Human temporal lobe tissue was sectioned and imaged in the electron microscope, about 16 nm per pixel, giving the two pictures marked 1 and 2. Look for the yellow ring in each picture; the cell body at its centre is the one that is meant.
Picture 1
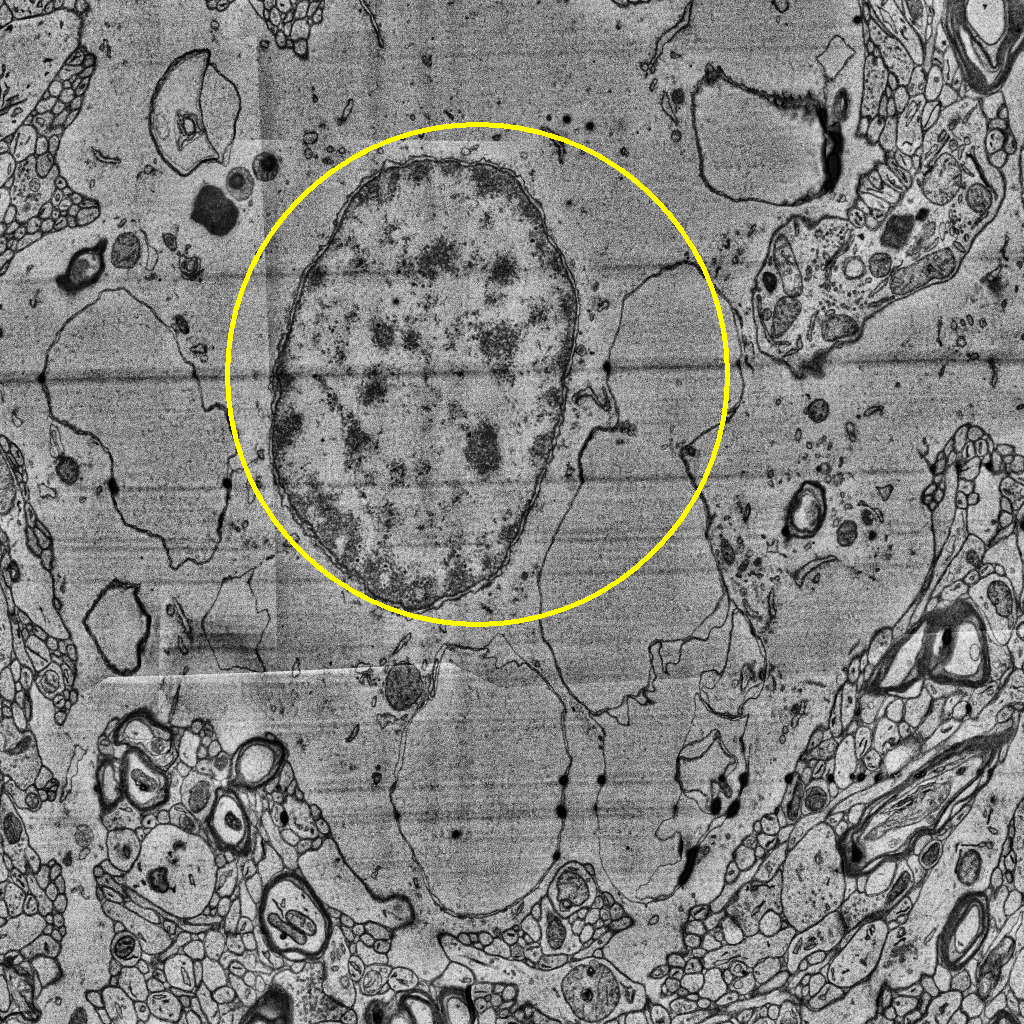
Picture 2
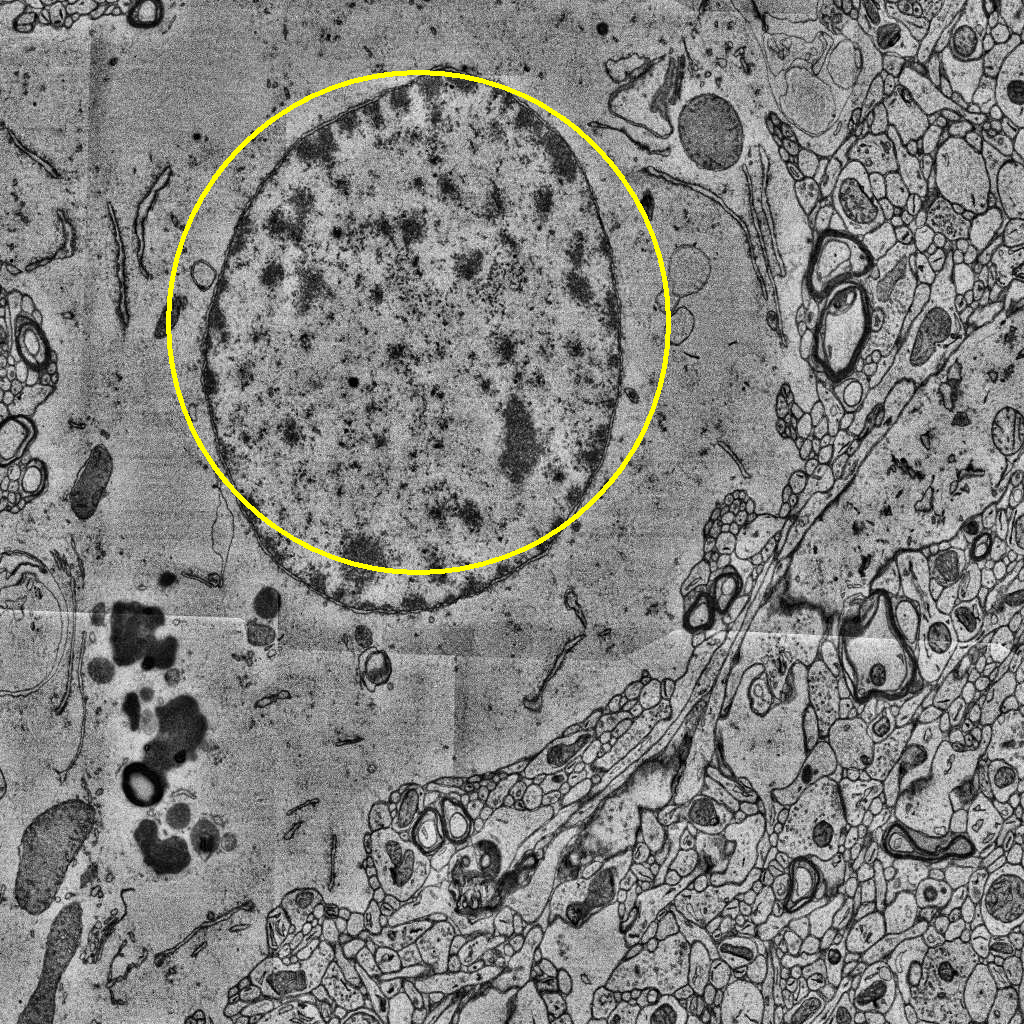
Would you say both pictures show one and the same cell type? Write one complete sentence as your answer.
Yes; the cells in both pictures are astrocytes.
